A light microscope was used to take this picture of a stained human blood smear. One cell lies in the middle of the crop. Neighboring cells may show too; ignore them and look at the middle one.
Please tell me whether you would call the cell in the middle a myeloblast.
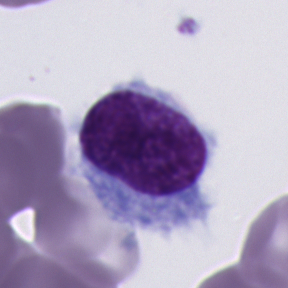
no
